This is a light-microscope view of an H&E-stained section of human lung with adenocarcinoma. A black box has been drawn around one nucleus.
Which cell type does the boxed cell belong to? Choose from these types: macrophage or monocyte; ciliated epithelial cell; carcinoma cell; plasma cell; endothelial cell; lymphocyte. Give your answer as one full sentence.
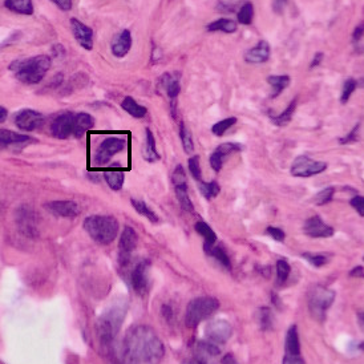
The correct response here is that the boxed cell is a plasma cell.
